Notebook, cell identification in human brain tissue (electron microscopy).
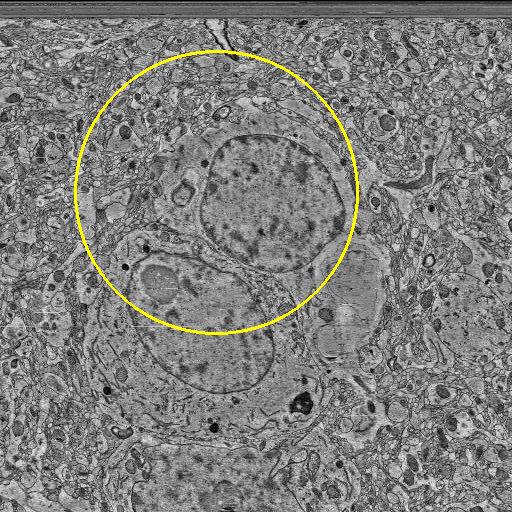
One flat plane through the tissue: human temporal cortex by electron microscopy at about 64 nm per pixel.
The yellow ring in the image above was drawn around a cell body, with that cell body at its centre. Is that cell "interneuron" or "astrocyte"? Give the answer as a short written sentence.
The cell in the ring is an astrocyte.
